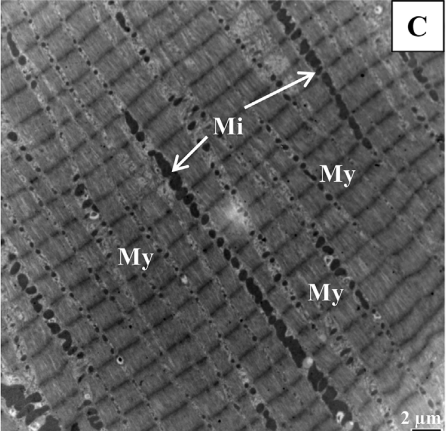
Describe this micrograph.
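Skeletal muscle fibre in longitudinal section, with closely packed myofibrils running diagonally across the field. The myofibrils show a regular striation of alternating darker and lighter bands, aligned in register from one myofibril to the next. Mitochondria appear as very dark, oval to elongated profiles arranged in chains and rows between the myofibrils. The spaces between myofibrils are narrow, so that the myofibrils and mitochondria form a compact, orderly array.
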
